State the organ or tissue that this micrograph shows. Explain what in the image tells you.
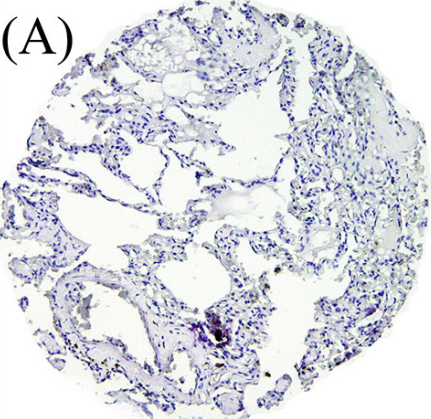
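Normal lung tissue. Thin-walled septa enclose large open air spaces. Network of delicate alveolar walls with no solid cell masses.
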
